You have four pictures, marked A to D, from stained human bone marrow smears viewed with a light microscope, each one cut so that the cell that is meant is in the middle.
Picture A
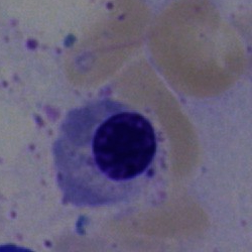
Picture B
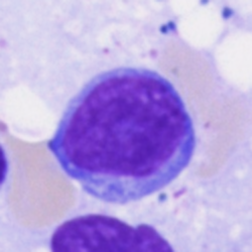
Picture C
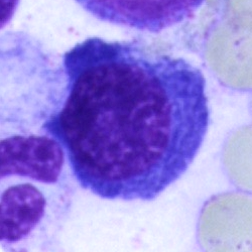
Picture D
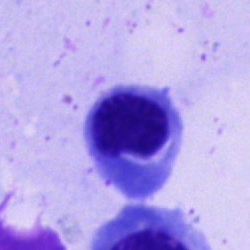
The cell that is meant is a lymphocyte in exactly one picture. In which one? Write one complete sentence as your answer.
It is picture B that shows the lymphocyte.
